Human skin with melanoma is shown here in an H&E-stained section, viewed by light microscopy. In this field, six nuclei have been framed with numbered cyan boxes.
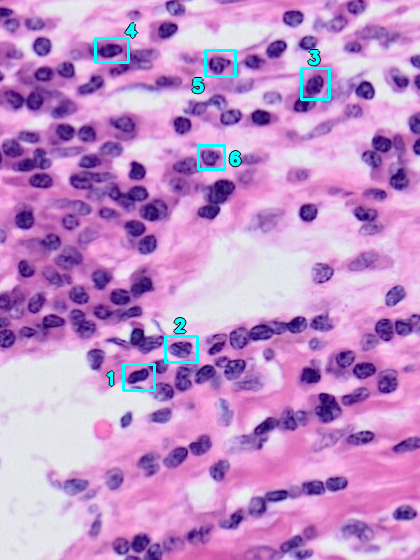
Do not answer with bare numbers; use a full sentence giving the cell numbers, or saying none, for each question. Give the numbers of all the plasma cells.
Identification: the cells with numbers 3, 4, 5 and 6 are plasma cells.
